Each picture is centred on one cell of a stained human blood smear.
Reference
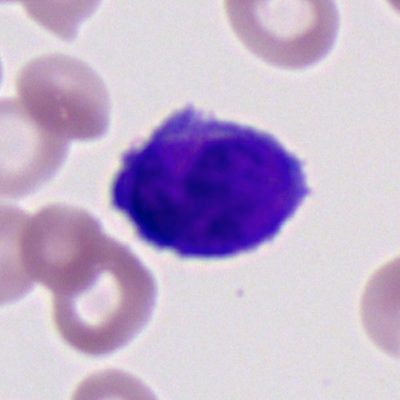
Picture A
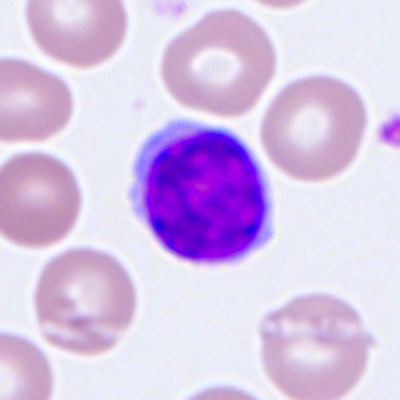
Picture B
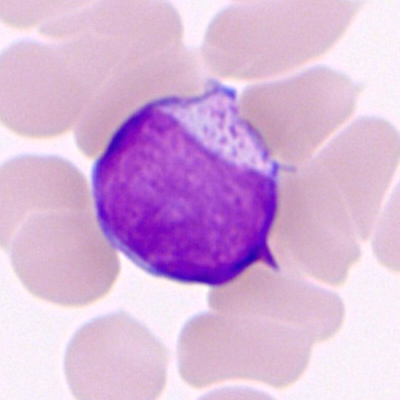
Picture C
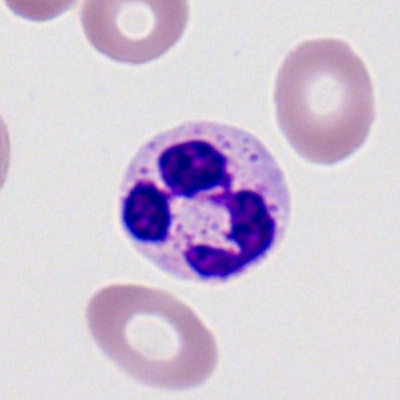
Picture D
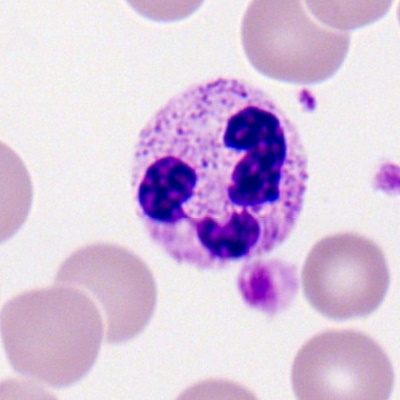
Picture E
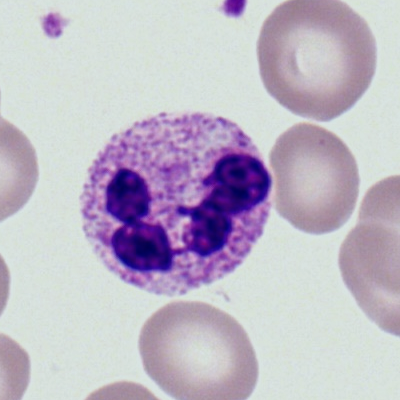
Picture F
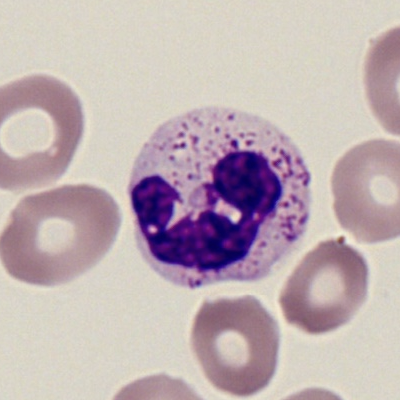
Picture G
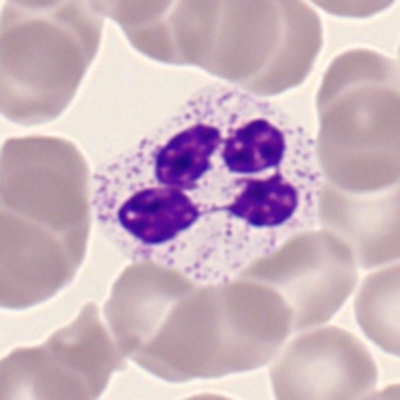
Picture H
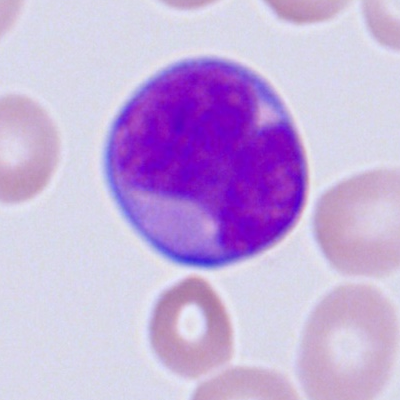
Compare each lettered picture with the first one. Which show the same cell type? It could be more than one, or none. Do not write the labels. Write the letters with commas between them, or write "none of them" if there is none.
B, H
